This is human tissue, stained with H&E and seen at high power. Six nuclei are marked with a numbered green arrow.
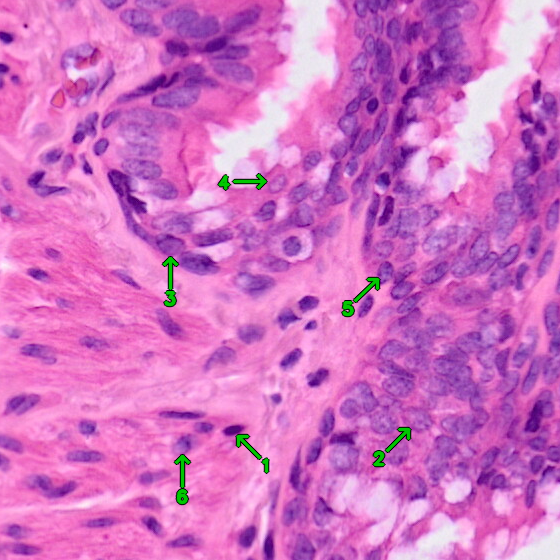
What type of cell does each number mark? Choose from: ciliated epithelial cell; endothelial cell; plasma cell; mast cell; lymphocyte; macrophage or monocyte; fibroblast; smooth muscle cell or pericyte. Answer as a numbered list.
1. smooth muscle cell or pericyte
2. ciliated epithelial cell
3. ciliated epithelial cell
4. ciliated epithelial cell
5. ciliated epithelial cell
6. smooth muscle cell or pericyte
